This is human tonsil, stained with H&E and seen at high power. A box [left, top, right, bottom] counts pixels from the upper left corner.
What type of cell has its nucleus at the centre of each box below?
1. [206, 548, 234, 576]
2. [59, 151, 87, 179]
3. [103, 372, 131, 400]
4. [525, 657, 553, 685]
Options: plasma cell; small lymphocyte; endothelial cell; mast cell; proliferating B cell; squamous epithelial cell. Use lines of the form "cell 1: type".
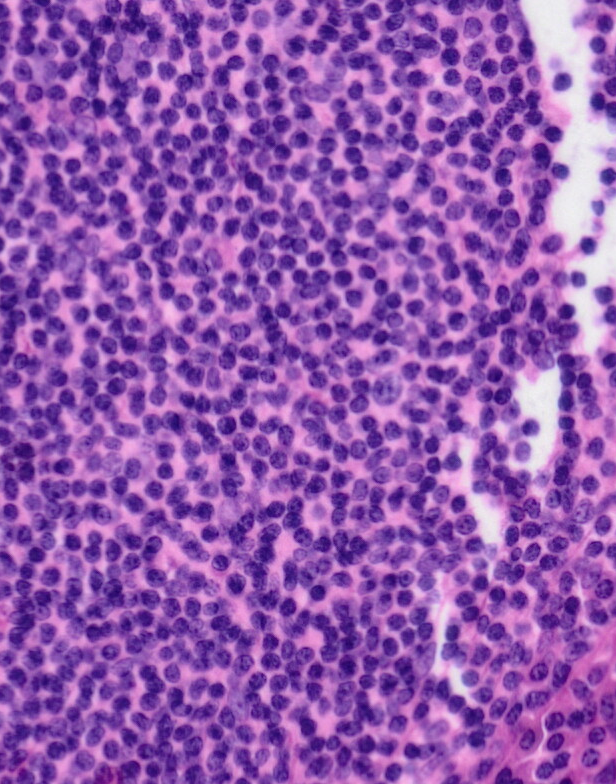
cell 1: small lymphocyte
cell 2: small lymphocyte
cell 3: small lymphocyte
cell 4: plasma cell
